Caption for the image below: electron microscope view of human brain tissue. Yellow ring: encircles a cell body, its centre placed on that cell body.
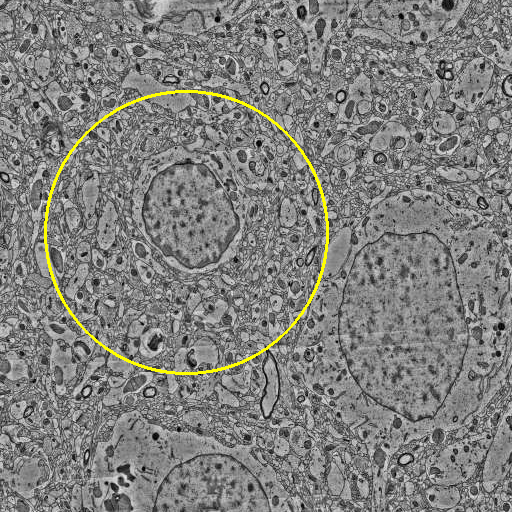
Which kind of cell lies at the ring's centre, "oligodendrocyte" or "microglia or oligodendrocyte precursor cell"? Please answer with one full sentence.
The picture shows a microglial cell or oligodendrocyte precursor cell at the centre of the yellow ring.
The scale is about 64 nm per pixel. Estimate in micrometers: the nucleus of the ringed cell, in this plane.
In this plane the nucleus is about 6 micrometres across.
